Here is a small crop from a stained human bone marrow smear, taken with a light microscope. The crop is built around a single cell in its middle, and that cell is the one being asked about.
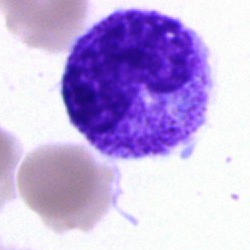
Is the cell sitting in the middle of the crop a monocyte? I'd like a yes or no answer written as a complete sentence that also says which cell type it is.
No, the correct answer for the middle cell is a metamyelocyte, not a monocyte.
